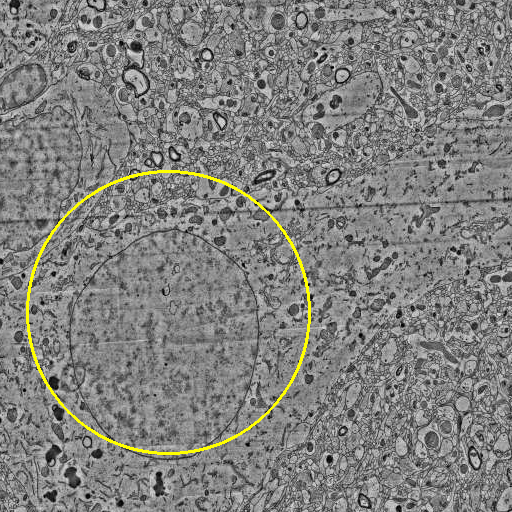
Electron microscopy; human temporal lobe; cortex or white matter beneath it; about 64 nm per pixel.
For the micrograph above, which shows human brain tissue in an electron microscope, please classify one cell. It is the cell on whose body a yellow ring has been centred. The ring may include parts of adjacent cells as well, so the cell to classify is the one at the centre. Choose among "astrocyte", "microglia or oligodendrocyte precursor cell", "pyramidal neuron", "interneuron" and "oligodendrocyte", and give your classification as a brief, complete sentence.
I classify this cell as a pyramidal neuron.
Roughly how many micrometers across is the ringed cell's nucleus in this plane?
The nucleus is approximately 15 micrometers long by 12 micrometers wide in this plane.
